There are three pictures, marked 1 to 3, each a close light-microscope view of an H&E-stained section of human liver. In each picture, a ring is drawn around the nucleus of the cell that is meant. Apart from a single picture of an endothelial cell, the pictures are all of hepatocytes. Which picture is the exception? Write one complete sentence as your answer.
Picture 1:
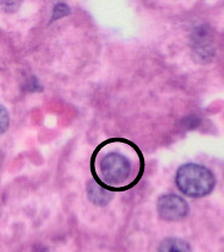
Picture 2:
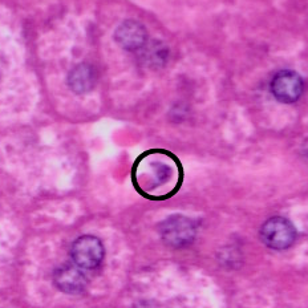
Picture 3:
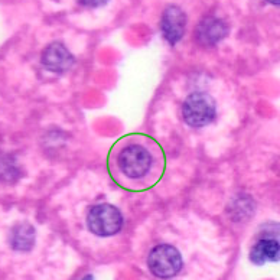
The cell in picture 2 is the endothelial cell.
